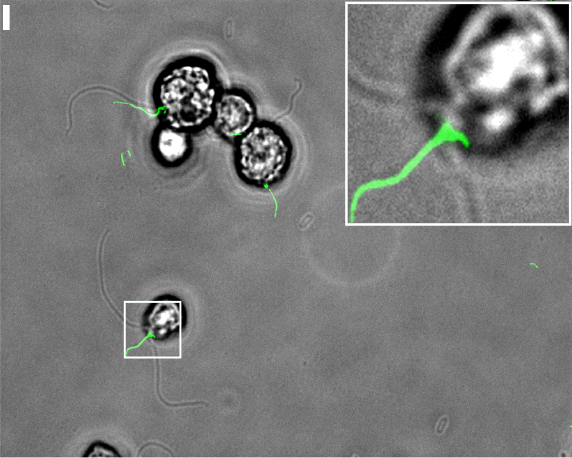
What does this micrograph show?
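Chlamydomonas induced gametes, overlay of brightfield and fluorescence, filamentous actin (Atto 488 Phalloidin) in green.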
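Thin flagella trail from several cells across the background. Fine green processes project from the surface of some cells, each broad at its base against the cell edge and tapering outward. Green fluorescence is otherwise absent from the cell bodies.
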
